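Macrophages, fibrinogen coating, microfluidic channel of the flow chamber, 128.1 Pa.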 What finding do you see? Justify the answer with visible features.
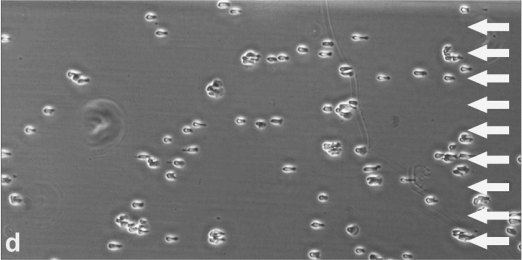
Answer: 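Many cells are drawn out into teardrop or comet-like shapes rather than round. The elongated cells lie mostly along the same horizontal axis.
Answer: elongated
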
